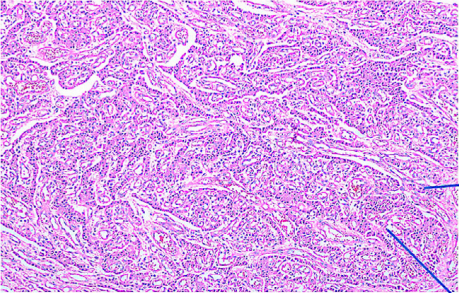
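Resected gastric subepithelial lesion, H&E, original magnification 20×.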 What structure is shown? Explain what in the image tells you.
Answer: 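Tumor cells form anastomosing cords and nests separated by thin pale fibrovascular stroma. Cells are of similar size with round nuclei and pink cytoplasm. The answer: interlacing nests, cords, and trabeculae.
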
